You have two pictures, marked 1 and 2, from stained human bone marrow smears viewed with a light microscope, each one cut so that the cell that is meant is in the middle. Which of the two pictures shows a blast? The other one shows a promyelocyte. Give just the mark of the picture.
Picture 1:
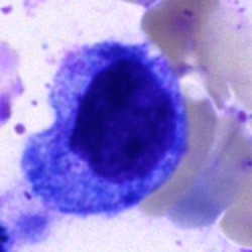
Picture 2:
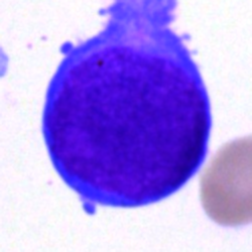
2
